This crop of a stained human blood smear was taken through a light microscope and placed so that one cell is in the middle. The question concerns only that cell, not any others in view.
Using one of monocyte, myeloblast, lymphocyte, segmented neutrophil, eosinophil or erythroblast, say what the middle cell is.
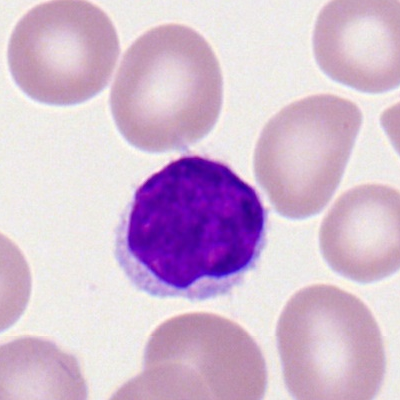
lymphocyte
